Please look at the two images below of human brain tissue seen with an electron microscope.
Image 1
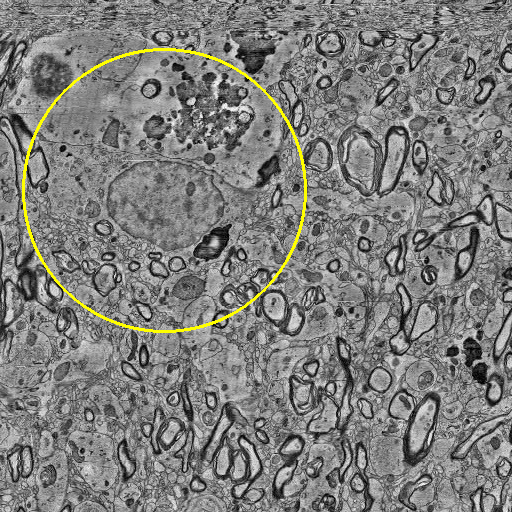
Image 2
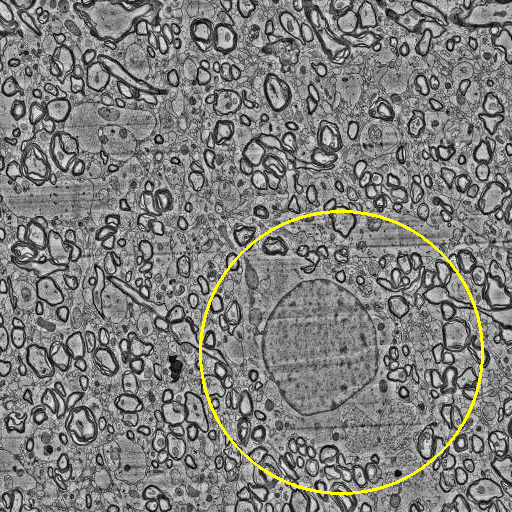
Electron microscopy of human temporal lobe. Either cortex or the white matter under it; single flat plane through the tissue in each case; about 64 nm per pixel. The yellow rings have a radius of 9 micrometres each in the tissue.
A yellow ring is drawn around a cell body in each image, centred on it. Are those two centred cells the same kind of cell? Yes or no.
no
